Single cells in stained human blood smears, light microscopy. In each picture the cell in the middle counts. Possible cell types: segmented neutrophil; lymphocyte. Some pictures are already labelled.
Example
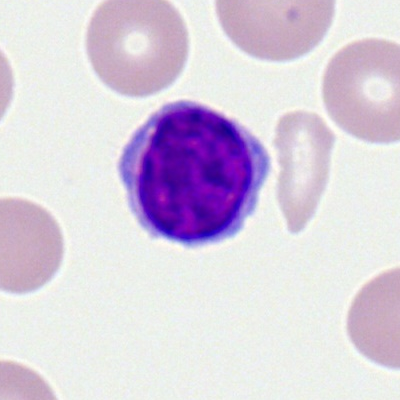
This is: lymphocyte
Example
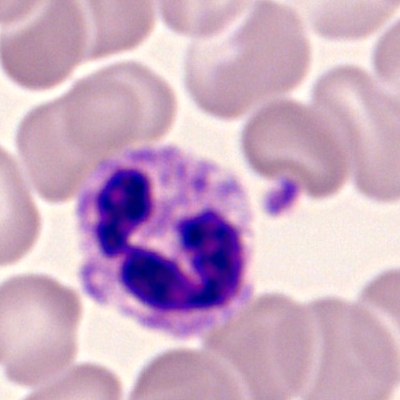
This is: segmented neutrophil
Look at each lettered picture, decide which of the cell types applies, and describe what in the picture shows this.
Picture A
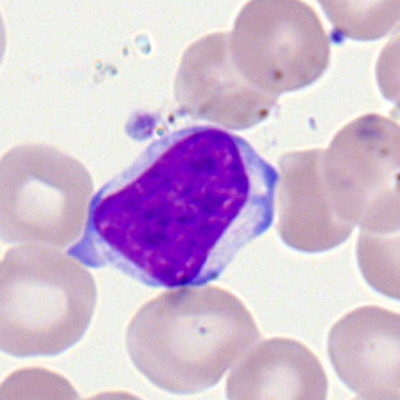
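Answer: lymphocyte. The nucleus is a single unlobed mass.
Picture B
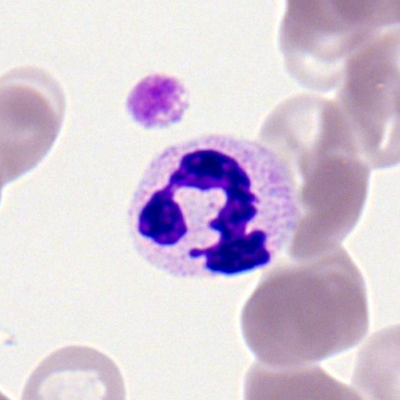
Answer: segmented neutrophil. The nuclear lobes curve around a patch of pale cytoplasm near the centre of the cell.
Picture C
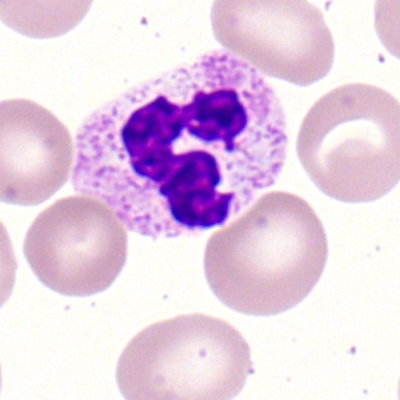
Answer: segmented neutrophil. The cytoplasm is plentiful and pale pink-lilac.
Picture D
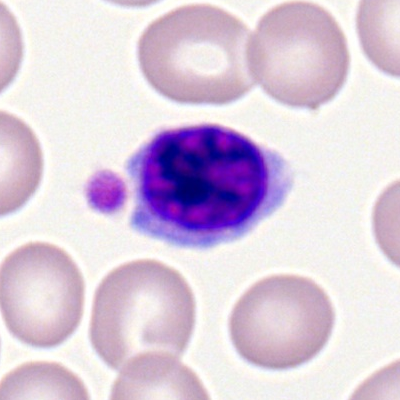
Answer: lymphocyte. The cytoplasm forms only a thin rim around the nucleus.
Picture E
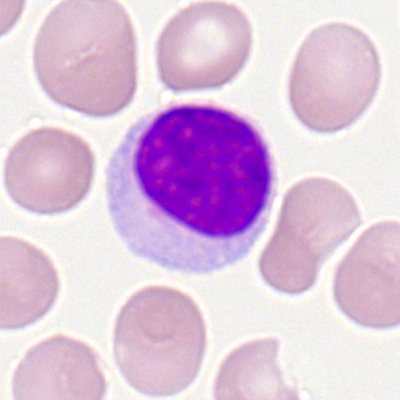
Answer: lymphocyte. The nucleus fills most of the cell, leaving a modest rim of cytoplasm.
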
